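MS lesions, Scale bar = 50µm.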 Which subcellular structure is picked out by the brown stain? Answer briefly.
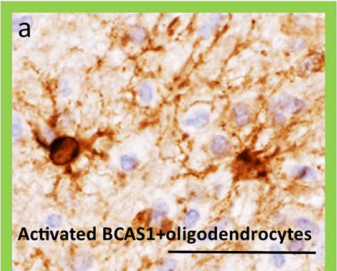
ramified processes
